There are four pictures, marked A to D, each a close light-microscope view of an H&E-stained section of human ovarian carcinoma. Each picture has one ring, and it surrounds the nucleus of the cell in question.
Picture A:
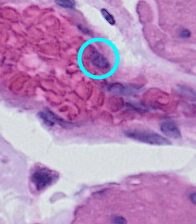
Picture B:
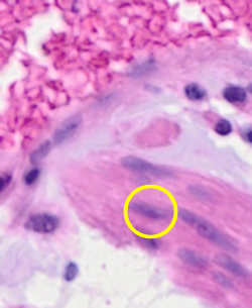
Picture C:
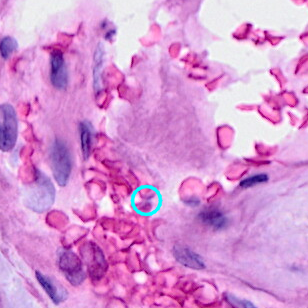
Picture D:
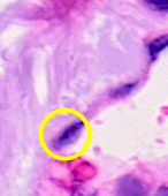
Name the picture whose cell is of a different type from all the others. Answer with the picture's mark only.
B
